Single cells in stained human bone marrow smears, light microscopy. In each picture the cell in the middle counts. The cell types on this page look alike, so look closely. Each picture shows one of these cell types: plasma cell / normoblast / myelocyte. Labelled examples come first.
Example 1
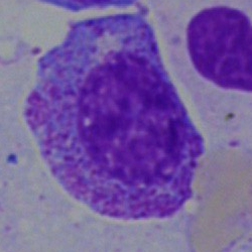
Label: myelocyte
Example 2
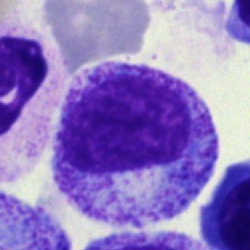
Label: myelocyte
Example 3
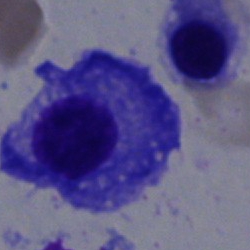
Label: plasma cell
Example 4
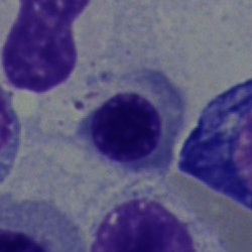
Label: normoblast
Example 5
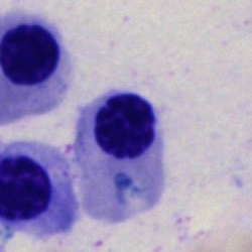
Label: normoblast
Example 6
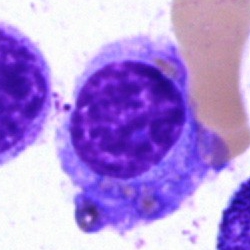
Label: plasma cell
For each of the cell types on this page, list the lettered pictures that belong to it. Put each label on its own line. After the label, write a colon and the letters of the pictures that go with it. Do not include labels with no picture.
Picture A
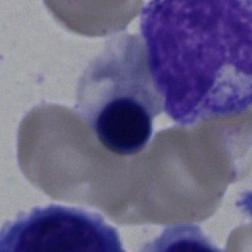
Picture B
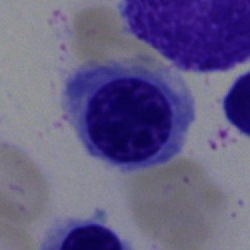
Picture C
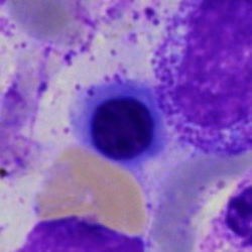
normoblast: A, B, C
